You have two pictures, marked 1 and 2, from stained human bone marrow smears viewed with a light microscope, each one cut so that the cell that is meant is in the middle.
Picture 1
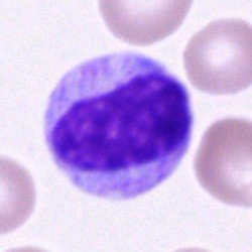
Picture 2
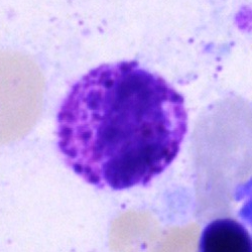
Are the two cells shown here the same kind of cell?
no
